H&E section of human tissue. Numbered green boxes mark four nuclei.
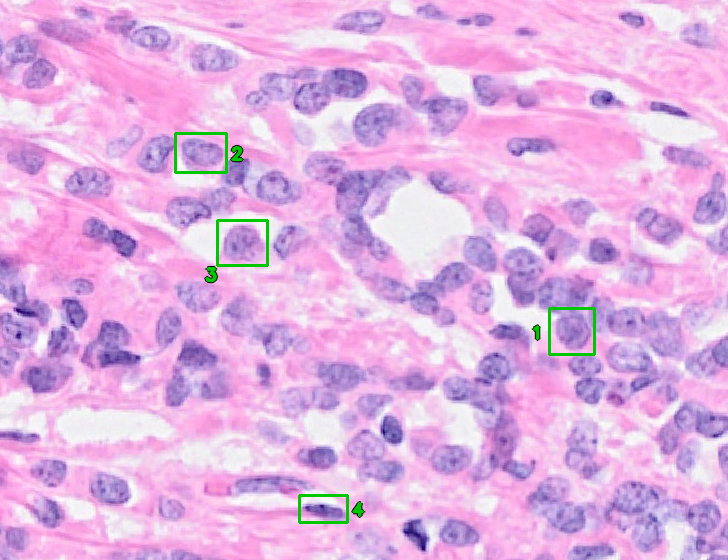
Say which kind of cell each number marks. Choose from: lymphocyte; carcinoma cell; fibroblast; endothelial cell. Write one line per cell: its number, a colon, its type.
1: carcinoma cell
2: carcinoma cell
3: carcinoma cell
4: endothelial cell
